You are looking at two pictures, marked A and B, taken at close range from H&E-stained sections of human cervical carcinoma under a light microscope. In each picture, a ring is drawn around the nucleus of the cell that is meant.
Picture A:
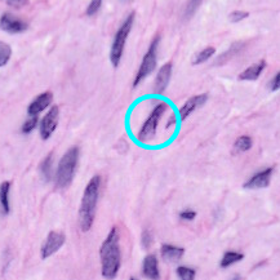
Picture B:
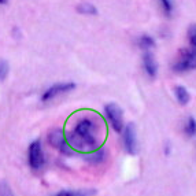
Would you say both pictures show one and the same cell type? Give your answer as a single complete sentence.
No; the cell in picture A is a fibroblast, while the one in picture B is an endothelial cell.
